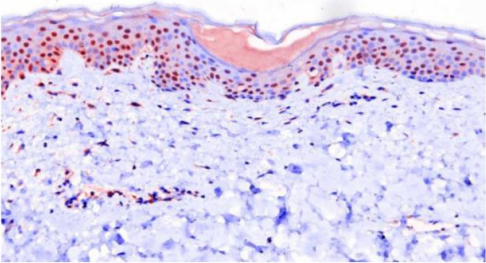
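This is skin, with a stratified squamous epidermis over a pale dermis. Many nuclei throughout the epidermis, from the basal layer upward, are stained red-brown, while others stay blue. A thin cornified layer covers the surface, and a small depression in it is filled with pink, homogeneous material. The junction between epidermis and dermis is gently undulating. The dermis below is loose and pale, with scattered spindle-shaped cells and small darker clusters of cells near the bottom.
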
